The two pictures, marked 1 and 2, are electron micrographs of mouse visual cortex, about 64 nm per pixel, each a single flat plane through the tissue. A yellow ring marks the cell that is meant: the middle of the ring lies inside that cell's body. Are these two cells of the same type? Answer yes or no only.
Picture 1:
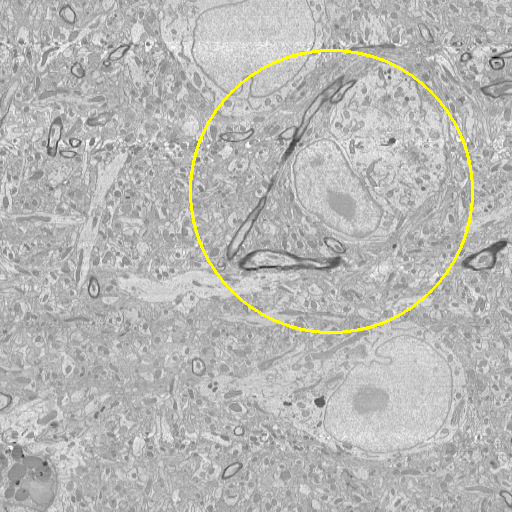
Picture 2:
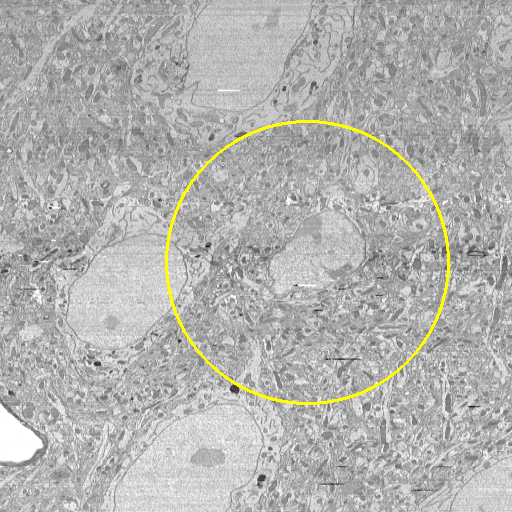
yes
